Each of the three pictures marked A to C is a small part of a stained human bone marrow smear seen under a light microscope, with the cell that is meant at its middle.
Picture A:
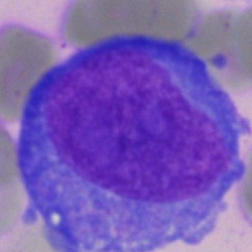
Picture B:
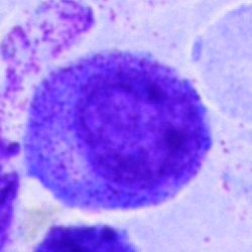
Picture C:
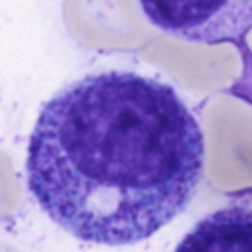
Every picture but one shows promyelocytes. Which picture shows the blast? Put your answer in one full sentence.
It is picture A that shows the blast.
